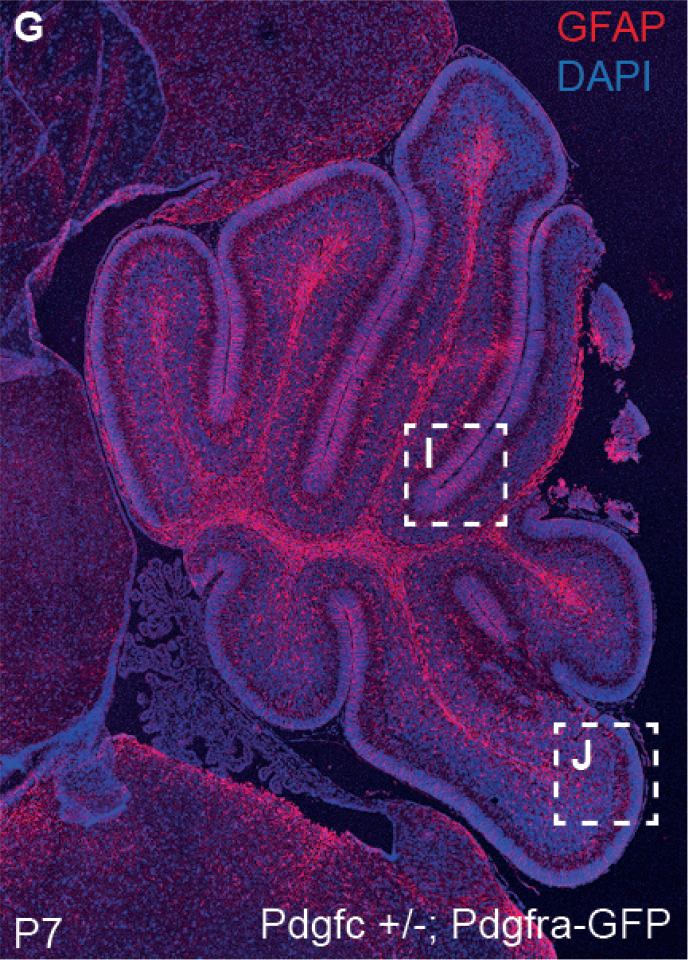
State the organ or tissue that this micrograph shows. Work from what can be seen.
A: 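Folded lobules arranged around a central branching core. Dense cell layers outline each folium. On this evidence: cerebellum.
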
